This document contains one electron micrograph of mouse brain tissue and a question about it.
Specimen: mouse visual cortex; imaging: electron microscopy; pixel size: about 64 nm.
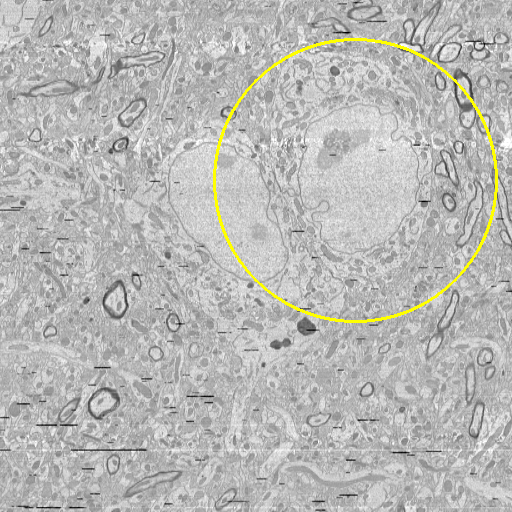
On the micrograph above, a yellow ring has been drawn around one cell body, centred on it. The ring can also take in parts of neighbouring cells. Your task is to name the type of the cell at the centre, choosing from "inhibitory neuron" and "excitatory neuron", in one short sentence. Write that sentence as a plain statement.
Here the ring is centred on an inhibitory neuron.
